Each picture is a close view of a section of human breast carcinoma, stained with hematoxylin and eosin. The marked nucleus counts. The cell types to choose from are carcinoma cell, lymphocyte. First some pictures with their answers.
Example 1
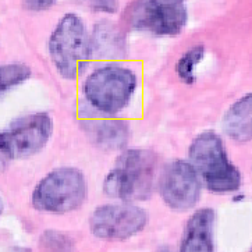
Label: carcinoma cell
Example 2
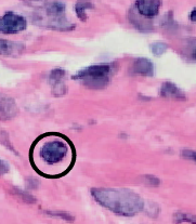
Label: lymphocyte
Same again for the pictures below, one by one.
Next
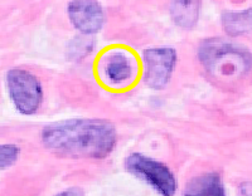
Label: lymphocyte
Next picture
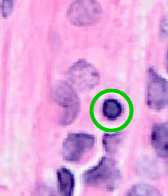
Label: lymphocyte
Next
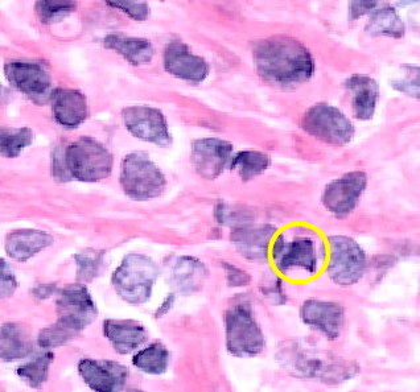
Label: carcinoma cell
